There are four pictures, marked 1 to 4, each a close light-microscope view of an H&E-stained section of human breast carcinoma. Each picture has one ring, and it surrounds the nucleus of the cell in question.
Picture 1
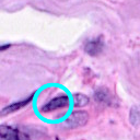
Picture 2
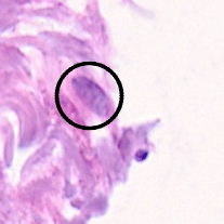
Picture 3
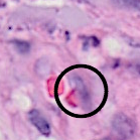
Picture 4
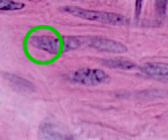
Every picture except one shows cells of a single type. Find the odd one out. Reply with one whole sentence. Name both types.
Picture 2 is the odd one out: it shows a fibroblast, while the others show endothelial cells.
